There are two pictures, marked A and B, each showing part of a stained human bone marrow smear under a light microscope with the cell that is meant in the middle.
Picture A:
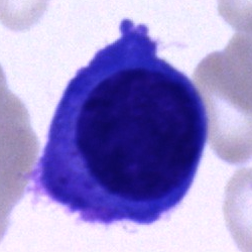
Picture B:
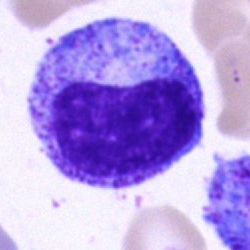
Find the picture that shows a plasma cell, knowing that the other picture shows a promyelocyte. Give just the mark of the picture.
A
